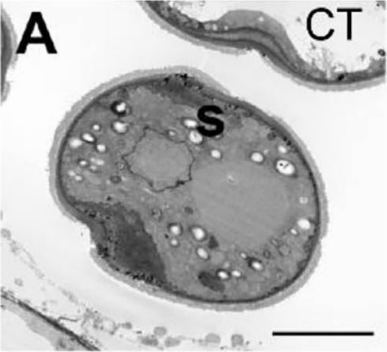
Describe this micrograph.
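This is an early bicellular pollen grain seen in thin section, an oval grain bounded by a layered wall. Against the wall at lower left lies a dark, lens-shaped smaller cell, while the large cell filling the rest of the grain holds a broad pale nuclear region and many small white starch granules scattered through its grey cytoplasm.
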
